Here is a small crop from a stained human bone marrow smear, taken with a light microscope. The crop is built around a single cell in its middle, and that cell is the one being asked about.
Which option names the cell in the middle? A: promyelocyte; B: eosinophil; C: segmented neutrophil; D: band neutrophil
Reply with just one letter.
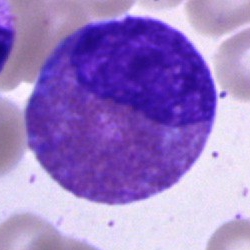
B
